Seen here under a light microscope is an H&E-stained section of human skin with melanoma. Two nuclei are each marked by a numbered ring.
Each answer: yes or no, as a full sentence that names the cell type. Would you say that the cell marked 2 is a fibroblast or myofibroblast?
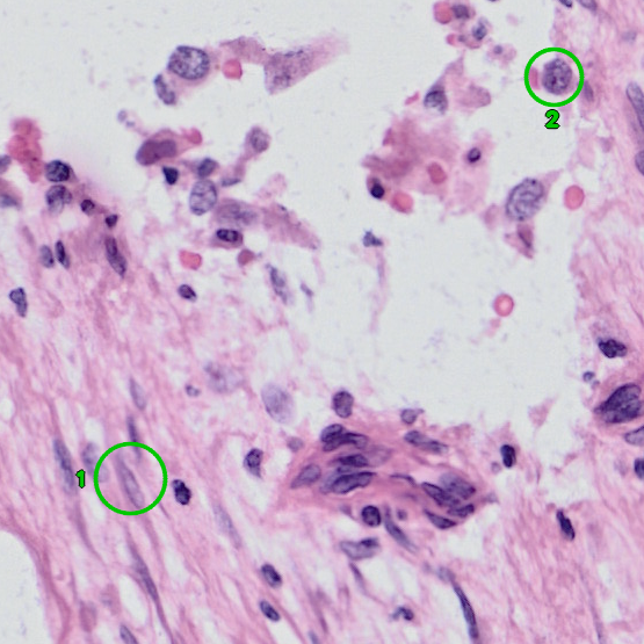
No, the marked cell 2 is not a fibroblast or myofibroblast, being instead a melanoma cell.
